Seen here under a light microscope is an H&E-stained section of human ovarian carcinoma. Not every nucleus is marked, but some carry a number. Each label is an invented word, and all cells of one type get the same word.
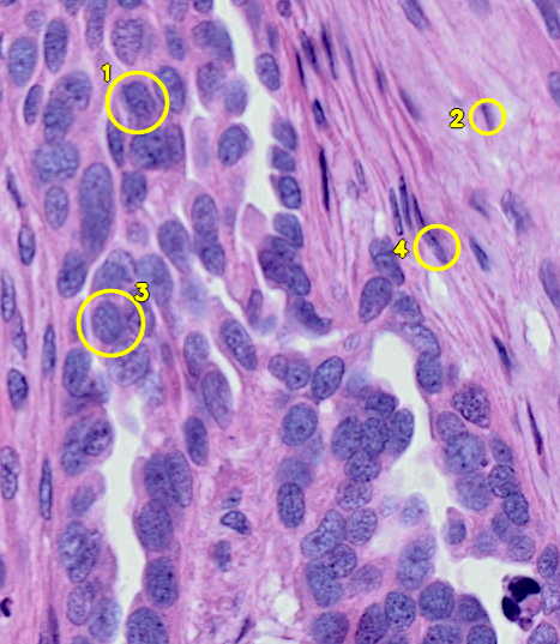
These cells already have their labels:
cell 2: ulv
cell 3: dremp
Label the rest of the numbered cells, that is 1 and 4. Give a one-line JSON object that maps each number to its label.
{"1": "dremp", "4": "ulv"}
